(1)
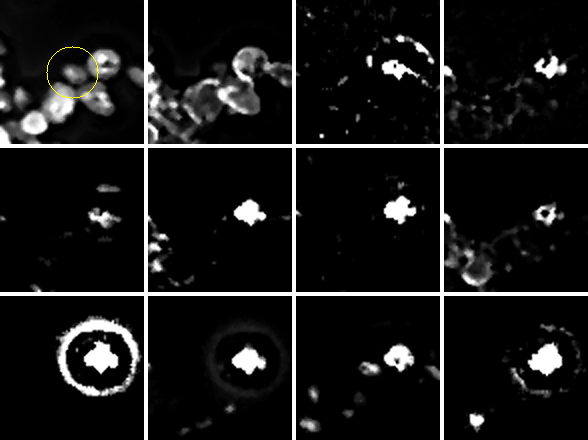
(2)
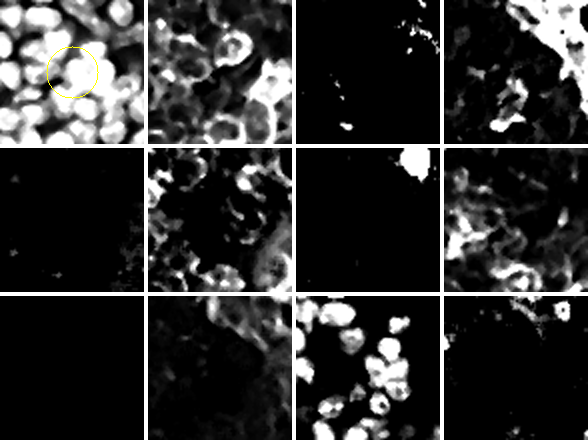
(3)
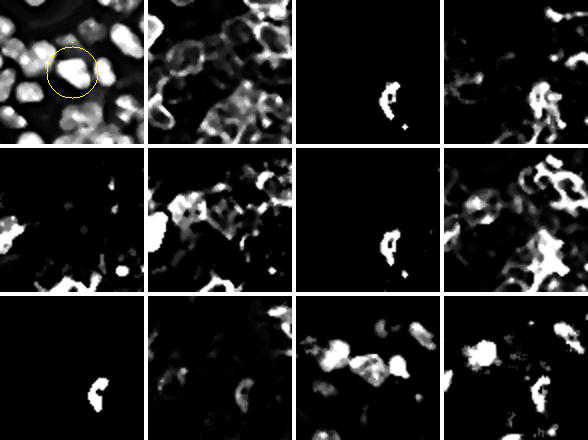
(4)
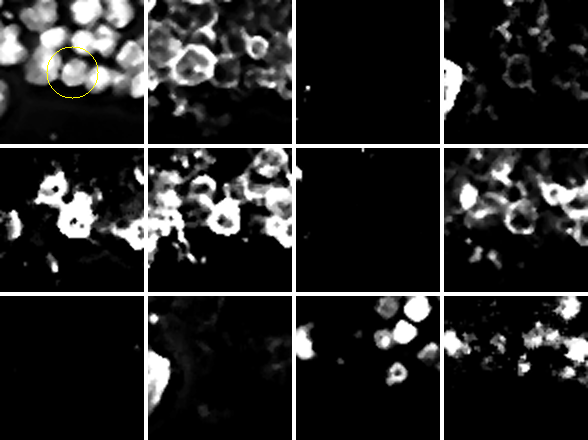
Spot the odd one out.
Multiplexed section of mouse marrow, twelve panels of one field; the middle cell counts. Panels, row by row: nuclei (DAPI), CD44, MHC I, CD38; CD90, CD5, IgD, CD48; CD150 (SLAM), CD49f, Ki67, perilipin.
Picture 4 (a T cell among erythroblasts).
